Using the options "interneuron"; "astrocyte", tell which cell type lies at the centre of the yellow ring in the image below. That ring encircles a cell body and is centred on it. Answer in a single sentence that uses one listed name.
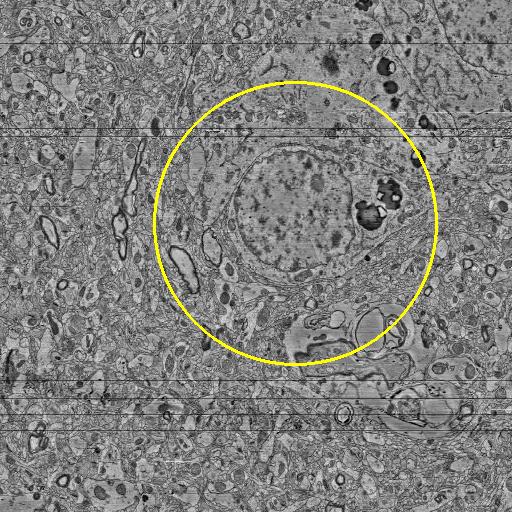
At the centre of the yellow ring lies the body of an interneuron.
